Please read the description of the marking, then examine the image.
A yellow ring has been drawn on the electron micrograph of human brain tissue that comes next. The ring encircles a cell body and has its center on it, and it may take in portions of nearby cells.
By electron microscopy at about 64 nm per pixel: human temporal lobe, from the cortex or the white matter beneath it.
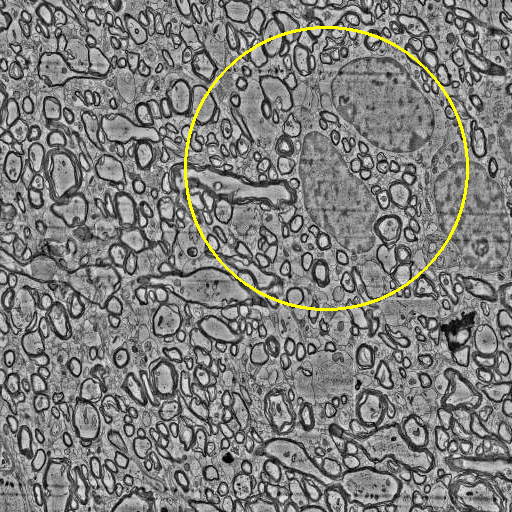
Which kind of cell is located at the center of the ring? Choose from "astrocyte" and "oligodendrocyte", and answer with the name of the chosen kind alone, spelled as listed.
oligodendrocyte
